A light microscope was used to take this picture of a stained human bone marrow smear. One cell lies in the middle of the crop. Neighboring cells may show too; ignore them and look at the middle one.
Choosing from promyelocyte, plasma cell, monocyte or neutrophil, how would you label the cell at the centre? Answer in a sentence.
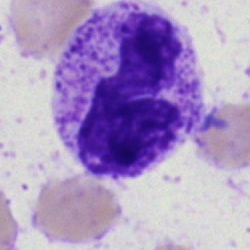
The central cell, amid any neighbouring cells, is a neutrophil.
